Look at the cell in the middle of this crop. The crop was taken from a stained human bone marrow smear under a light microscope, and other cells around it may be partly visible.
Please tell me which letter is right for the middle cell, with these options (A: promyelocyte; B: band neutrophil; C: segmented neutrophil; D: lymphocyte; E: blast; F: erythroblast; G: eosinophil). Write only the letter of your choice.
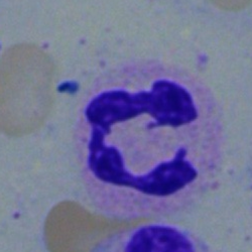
C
